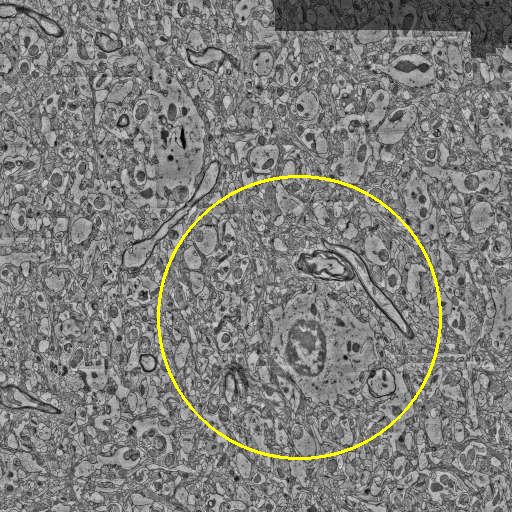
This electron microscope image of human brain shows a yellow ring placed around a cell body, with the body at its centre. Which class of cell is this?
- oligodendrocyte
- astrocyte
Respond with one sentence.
The cell body at the ring's centre is an astrocyte.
